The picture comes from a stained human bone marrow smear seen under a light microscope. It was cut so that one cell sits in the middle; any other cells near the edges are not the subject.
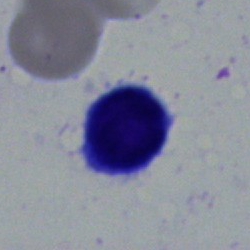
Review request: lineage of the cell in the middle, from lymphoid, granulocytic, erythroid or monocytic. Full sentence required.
The lineage of the cell at the center of the crop is lymphoid.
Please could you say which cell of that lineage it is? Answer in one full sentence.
In this crop, the cell at the very middle is a lymphocyte.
